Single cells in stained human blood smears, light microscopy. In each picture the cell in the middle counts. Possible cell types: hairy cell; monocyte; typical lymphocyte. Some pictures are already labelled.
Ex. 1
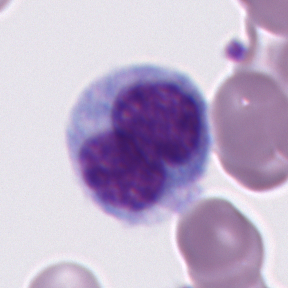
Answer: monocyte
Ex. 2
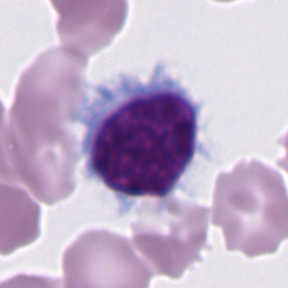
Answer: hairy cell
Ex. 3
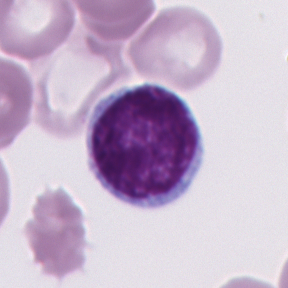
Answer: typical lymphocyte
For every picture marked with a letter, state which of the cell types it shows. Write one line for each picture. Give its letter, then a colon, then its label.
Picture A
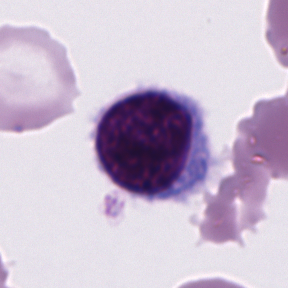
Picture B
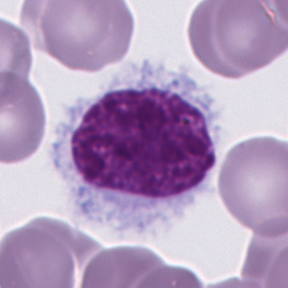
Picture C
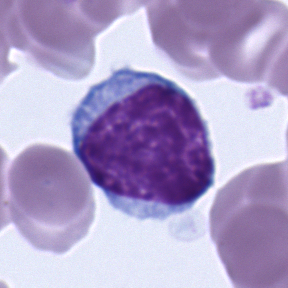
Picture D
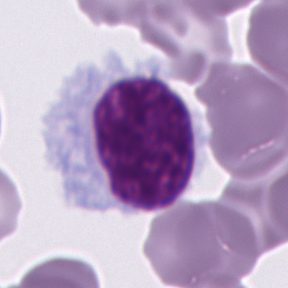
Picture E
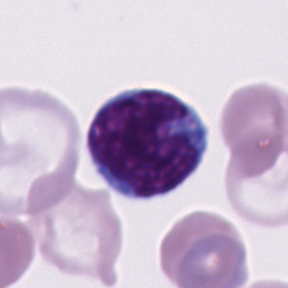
A: hairy cell
B: hairy cell
C: typical lymphocyte
D: hairy cell
E: typical lymphocyte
